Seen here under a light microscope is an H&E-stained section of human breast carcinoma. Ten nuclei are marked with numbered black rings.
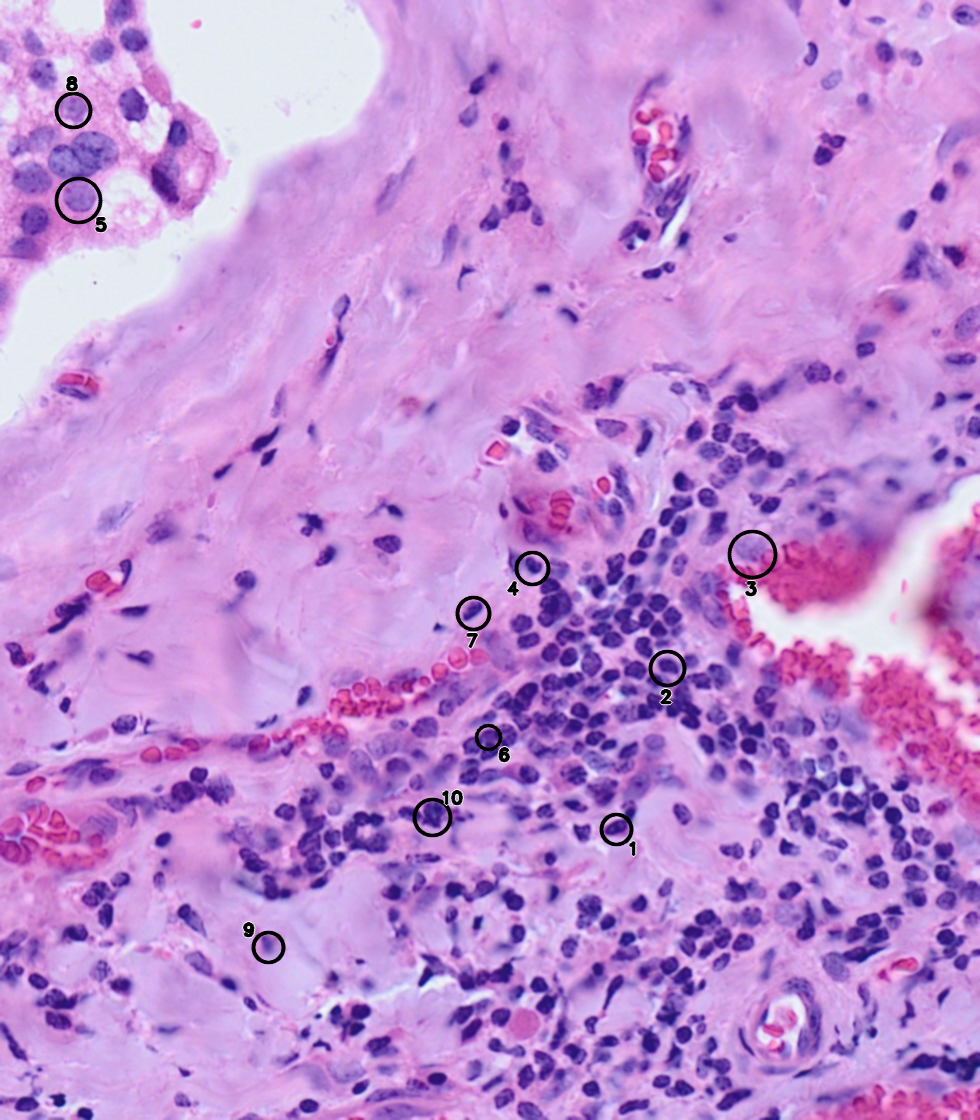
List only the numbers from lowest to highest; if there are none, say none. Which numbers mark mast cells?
9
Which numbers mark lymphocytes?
1, 2, 4, 6, 7, 10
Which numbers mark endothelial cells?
3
